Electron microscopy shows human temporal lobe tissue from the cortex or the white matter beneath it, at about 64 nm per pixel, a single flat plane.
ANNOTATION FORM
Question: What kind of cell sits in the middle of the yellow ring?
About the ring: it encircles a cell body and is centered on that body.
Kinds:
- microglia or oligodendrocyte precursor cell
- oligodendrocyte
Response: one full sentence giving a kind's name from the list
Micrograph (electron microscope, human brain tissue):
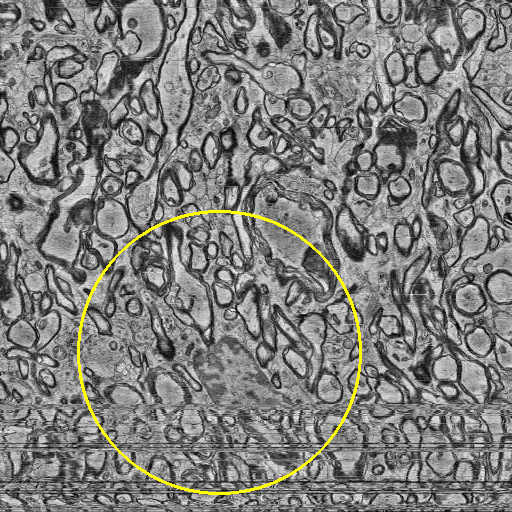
The kind of cell found at the center of the yellow ring in the micrograph is a microglial cell or oligodendrocyte precursor cell.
